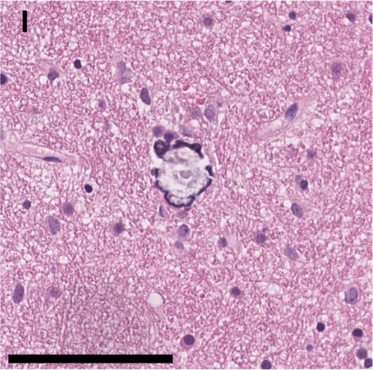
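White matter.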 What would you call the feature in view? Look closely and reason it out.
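A small round body with dark purple granular rim in the centre. It lies free in pale fibrillary tissue.
Answer: calcospherites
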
